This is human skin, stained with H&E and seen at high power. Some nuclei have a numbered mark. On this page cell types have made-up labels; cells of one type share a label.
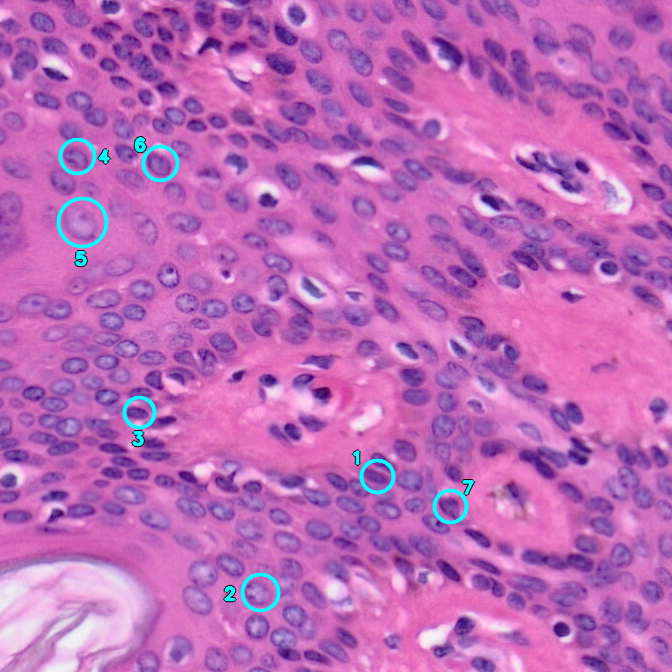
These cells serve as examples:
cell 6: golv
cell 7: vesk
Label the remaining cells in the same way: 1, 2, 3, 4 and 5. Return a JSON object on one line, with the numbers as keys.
{"1": "vesk", "2": "golv", "3": "vesk", "4": "golv", "5": "golv"}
